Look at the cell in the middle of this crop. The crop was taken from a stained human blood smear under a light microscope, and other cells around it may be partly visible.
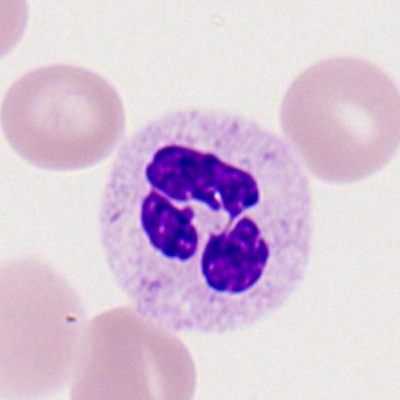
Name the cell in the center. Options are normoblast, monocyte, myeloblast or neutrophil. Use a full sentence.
On this slide crop, the central cell is a neutrophil.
